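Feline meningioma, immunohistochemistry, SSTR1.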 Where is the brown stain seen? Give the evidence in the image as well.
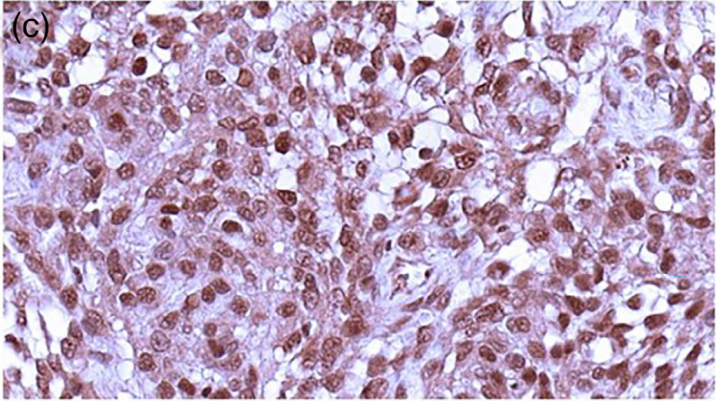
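Nuclear. Most nuclei are stained dark brown. The cytoplasm around them is a paler brown.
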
